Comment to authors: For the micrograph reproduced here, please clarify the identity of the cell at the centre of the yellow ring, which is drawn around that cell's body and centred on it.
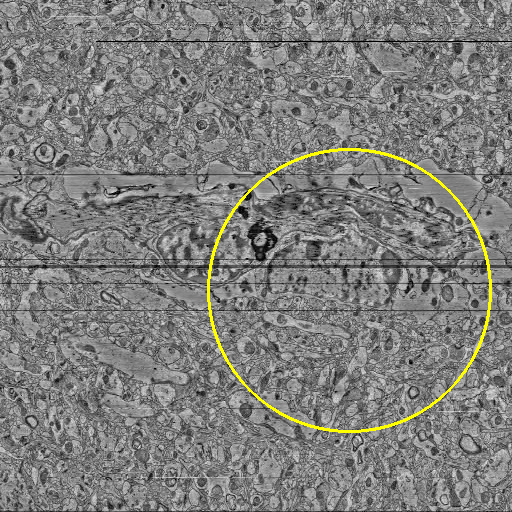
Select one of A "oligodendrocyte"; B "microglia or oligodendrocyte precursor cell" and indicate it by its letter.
B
